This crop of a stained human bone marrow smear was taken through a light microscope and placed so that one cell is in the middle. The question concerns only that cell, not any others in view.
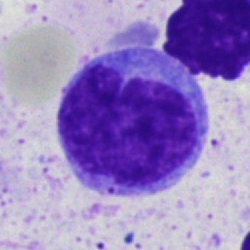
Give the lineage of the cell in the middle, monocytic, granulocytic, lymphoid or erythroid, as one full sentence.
In this crop the cell in the center is part of the monocytic lineage.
